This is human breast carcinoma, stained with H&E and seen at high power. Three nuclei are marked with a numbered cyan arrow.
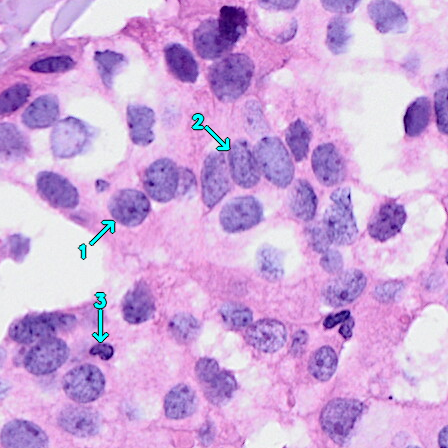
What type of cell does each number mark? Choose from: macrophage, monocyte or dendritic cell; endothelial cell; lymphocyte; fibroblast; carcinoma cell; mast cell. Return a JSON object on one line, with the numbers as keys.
{"1": "carcinoma cell", "2": "carcinoma cell", "3": "lymphocyte"}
